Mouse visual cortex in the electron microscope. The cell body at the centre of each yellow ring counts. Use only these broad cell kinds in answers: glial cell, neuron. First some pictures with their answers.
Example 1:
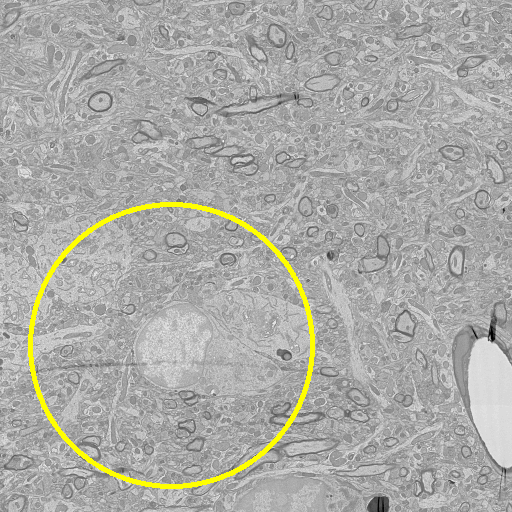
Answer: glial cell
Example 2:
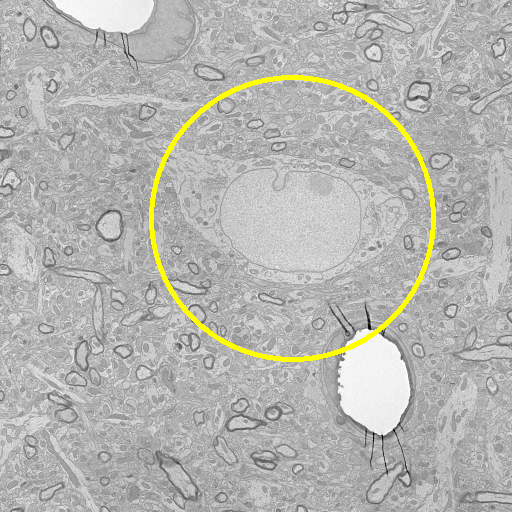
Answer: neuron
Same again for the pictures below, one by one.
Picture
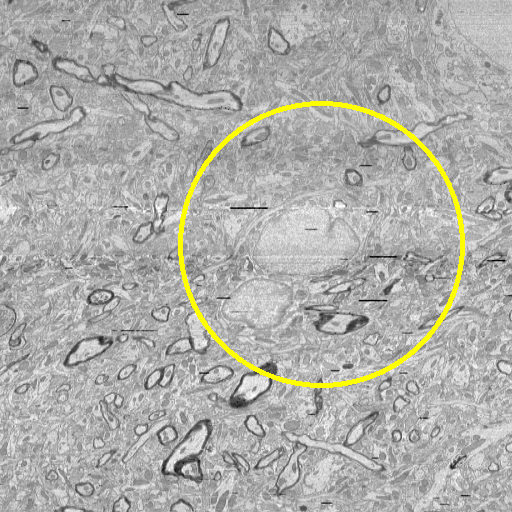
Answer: glial cell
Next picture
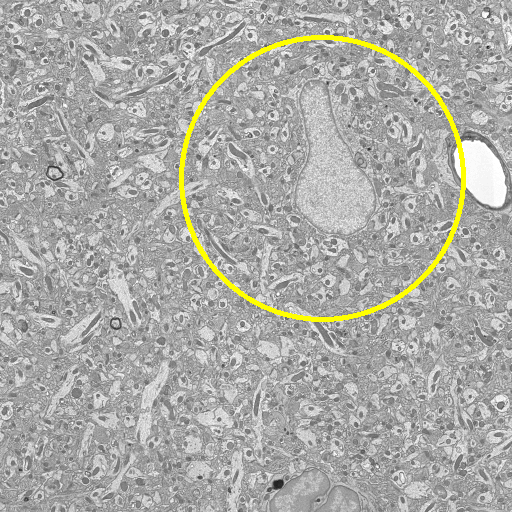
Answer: glial cell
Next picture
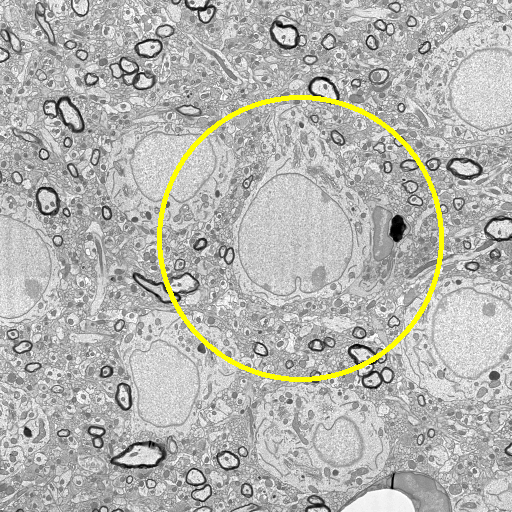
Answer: neuron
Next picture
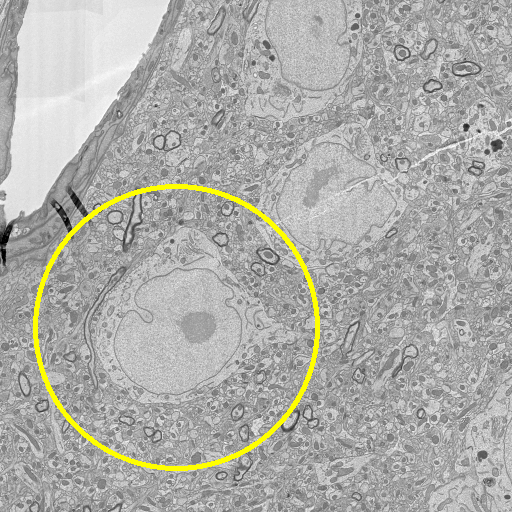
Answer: neuron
